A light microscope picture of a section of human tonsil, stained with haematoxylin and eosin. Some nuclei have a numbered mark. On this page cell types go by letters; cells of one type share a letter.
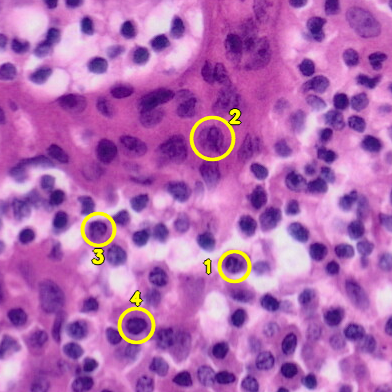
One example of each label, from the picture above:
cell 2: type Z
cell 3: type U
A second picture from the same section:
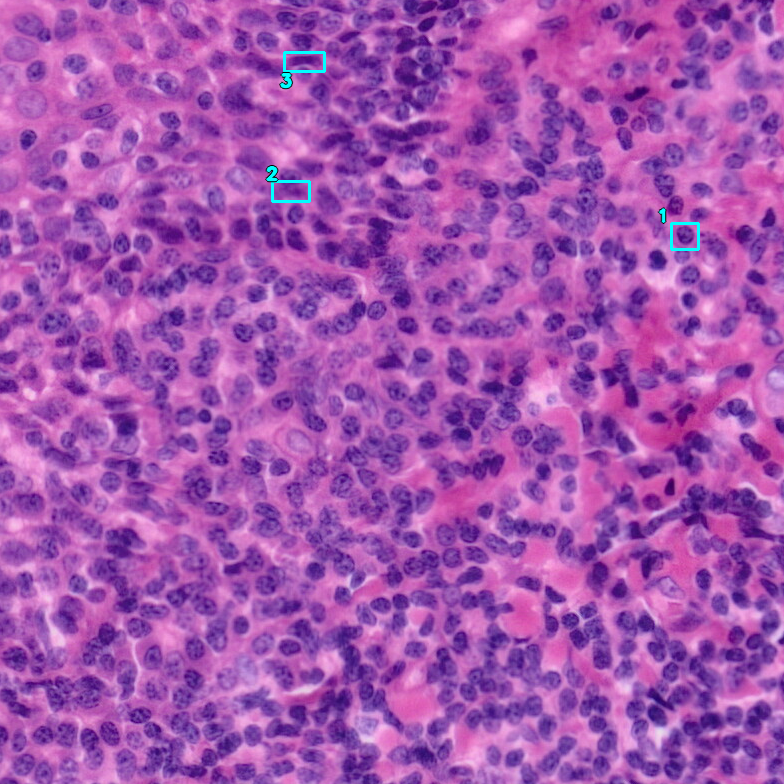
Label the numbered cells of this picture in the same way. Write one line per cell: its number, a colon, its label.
1: type U
2: type Z
3: type Z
